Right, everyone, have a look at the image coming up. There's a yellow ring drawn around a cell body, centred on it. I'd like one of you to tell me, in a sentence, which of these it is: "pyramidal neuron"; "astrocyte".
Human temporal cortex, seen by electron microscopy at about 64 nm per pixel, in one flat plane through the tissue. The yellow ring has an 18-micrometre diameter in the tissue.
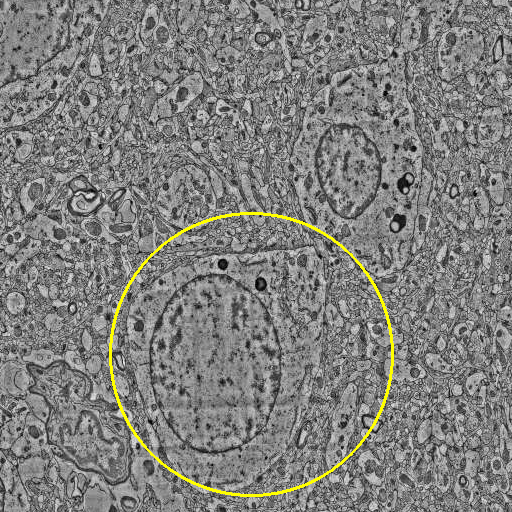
The yellow ring sits on a pyramidal neuron.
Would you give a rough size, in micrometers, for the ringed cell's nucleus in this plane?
In this plane the nucleus measures roughly 11 by 8 micrometers.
